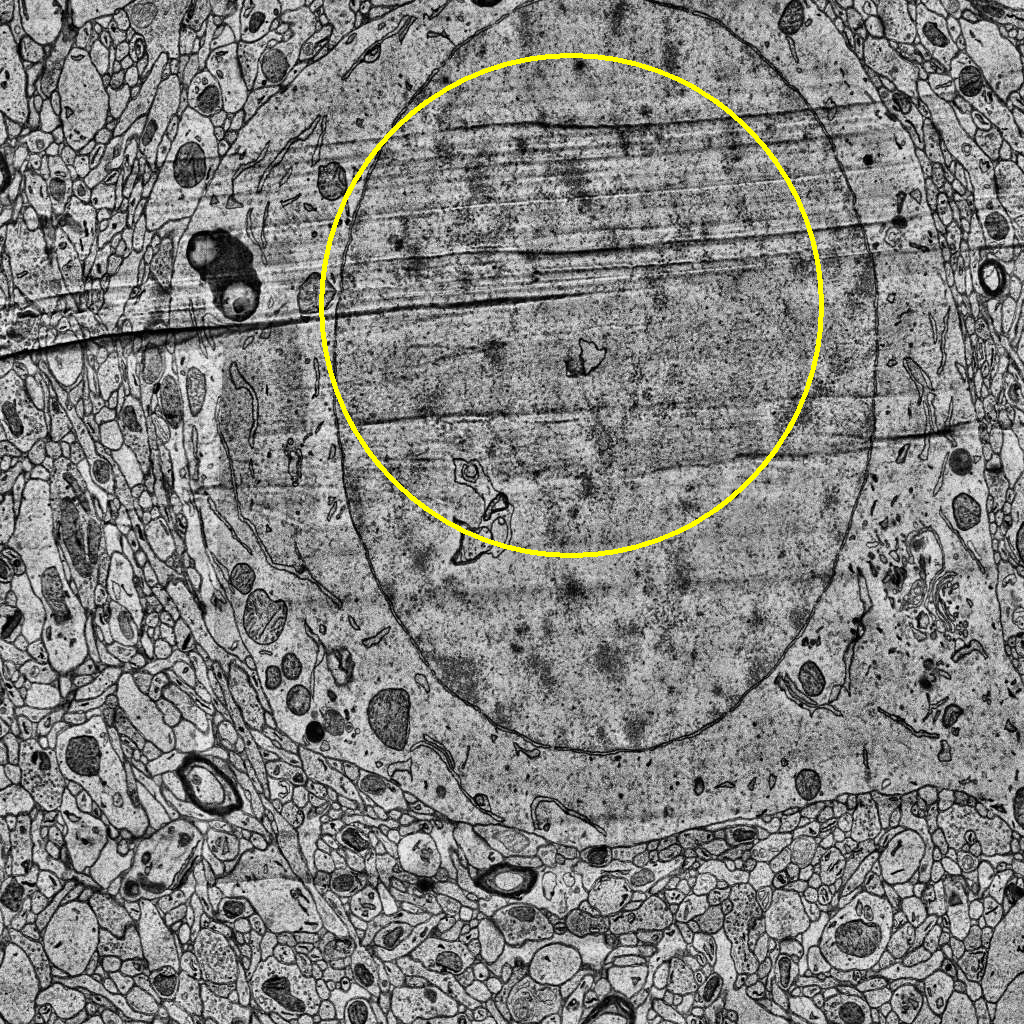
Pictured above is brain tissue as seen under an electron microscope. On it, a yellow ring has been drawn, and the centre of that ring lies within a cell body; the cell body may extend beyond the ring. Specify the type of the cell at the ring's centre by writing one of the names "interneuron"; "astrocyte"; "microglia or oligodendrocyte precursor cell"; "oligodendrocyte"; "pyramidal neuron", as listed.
pyramidal neuron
